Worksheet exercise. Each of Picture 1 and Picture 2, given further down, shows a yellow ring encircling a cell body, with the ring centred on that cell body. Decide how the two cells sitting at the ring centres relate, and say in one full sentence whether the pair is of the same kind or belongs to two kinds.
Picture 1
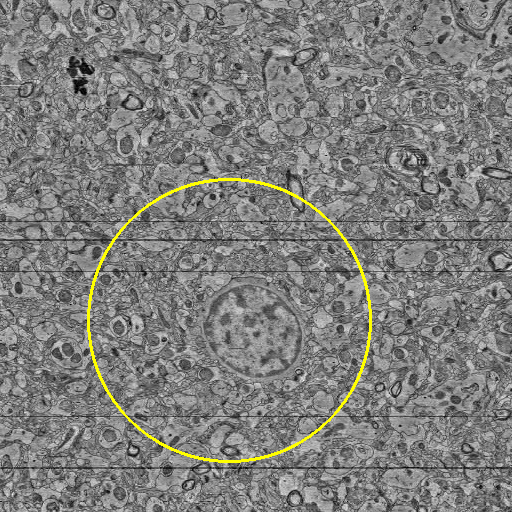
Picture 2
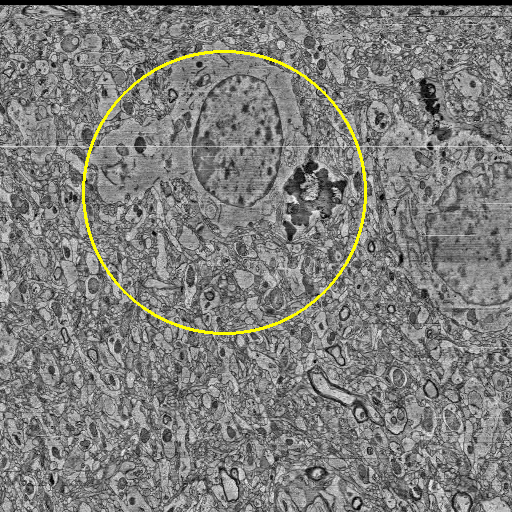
The cells at the ring centres in Picture 1 and Picture 2 belong to two kinds.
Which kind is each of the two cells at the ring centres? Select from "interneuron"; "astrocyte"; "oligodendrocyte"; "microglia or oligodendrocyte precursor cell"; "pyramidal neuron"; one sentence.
The cell at the centre of the ring is an oligodendrocyte in the first picture and an astrocyte in the second.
